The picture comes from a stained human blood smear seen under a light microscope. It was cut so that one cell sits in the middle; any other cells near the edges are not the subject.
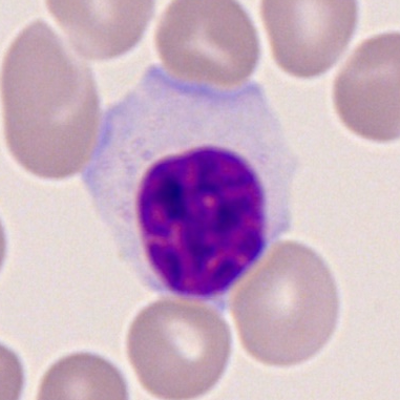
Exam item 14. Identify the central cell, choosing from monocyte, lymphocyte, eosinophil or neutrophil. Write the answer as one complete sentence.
The cell sitting right in the middle is a lymphocyte.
